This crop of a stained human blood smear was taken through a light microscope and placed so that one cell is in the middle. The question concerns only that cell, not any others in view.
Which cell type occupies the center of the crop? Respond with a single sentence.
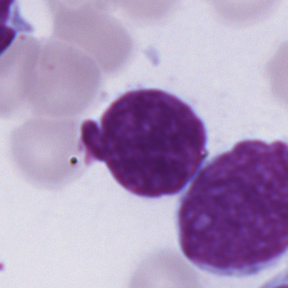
The center cell of this crop is a myeloblast.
